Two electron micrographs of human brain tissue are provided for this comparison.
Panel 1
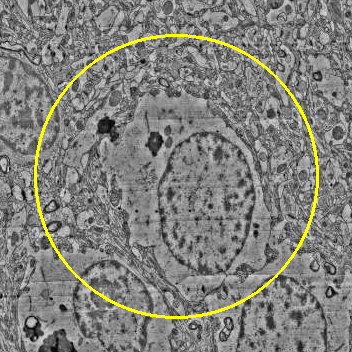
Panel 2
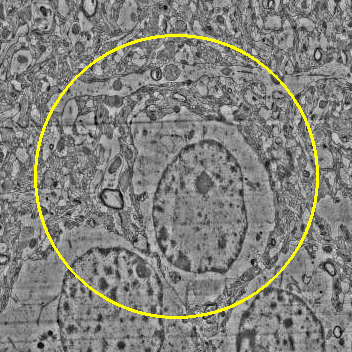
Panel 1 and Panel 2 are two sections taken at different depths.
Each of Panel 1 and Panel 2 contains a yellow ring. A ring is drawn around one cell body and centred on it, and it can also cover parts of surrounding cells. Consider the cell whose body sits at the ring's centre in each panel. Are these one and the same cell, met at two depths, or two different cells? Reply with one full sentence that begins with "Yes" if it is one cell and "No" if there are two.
Yes, one cell is ringed in yellow twice over.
